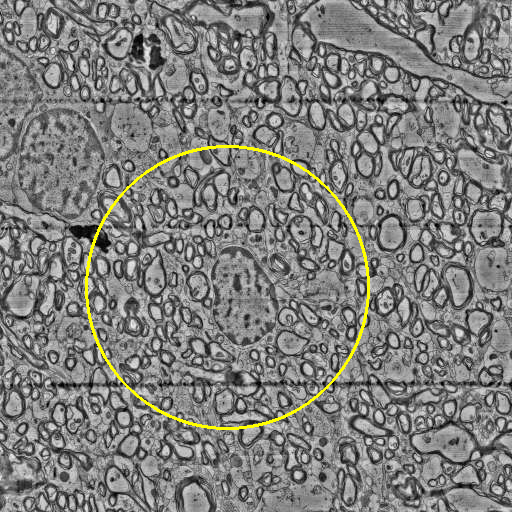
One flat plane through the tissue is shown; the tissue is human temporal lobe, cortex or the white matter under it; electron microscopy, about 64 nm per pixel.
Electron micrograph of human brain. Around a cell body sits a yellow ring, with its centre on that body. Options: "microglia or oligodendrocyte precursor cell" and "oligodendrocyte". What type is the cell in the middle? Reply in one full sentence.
The cell sitting at the centre of the yellow ring is a microglial cell or oligodendrocyte precursor cell.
